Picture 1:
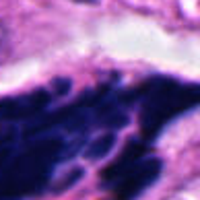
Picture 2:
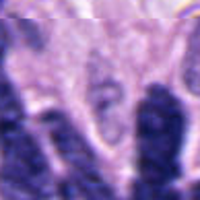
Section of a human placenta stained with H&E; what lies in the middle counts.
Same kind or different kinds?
Different: the first is a syncytial knot, the second a cytotrophoblast.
